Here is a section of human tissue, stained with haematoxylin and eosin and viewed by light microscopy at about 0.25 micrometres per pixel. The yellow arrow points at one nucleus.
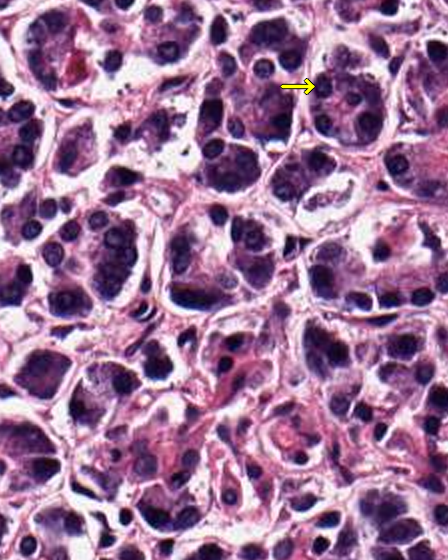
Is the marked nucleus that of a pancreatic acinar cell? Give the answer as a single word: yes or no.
yes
